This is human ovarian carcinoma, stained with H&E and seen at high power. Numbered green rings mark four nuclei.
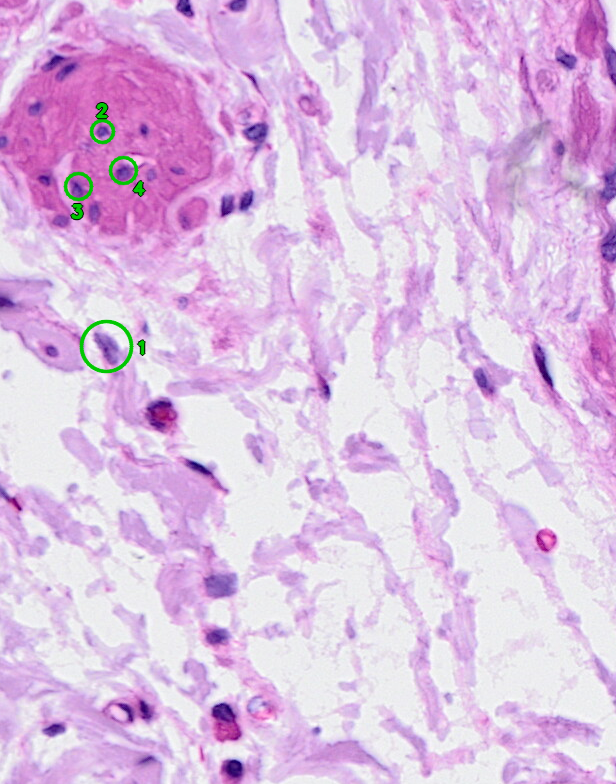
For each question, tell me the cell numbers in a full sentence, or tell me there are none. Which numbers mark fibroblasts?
Exactly one of the numbered cells is a fibroblast, namely cell 1.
